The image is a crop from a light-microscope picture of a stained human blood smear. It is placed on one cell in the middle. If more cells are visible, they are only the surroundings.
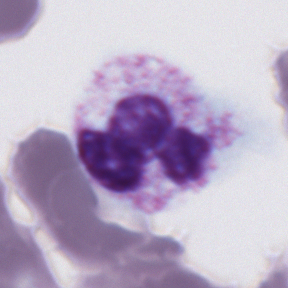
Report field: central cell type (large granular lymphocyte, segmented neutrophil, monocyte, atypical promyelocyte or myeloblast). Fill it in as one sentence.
The cell around which this crop is centred is a segmented neutrophil.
